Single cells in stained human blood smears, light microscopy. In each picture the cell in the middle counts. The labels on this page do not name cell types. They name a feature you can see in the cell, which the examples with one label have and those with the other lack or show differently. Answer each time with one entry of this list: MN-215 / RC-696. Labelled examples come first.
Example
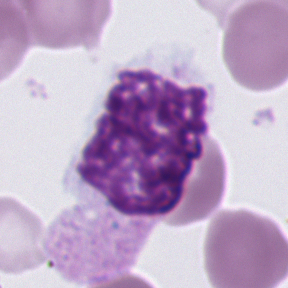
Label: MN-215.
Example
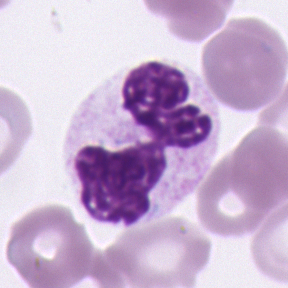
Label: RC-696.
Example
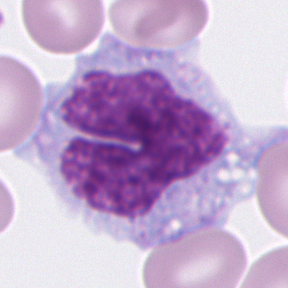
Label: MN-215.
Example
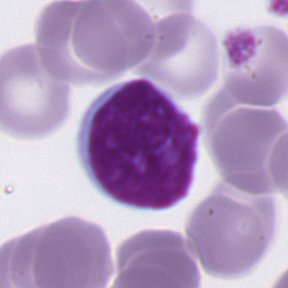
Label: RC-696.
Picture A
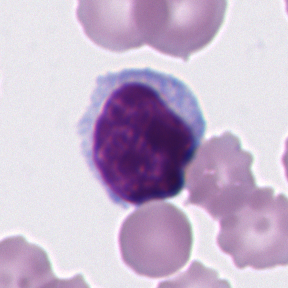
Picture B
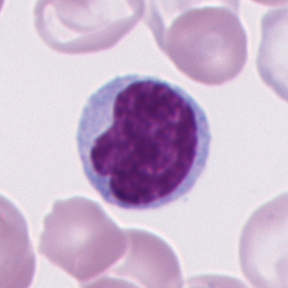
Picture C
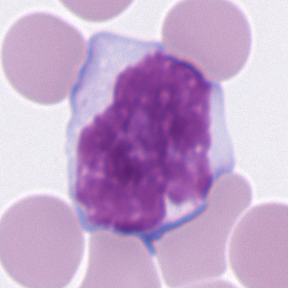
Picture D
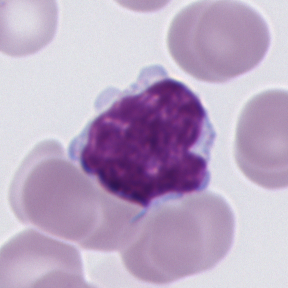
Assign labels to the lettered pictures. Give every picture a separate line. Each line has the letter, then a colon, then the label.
A: MN-215.
B: RC-696.
C: MN-215.
D: MN-215.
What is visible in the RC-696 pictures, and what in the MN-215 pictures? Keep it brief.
RC-696: smooth outline; MN-215: ragged outline or projections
